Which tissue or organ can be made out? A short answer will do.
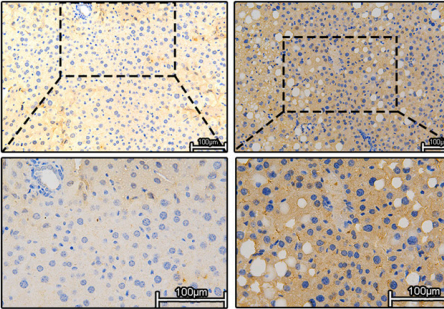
liver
